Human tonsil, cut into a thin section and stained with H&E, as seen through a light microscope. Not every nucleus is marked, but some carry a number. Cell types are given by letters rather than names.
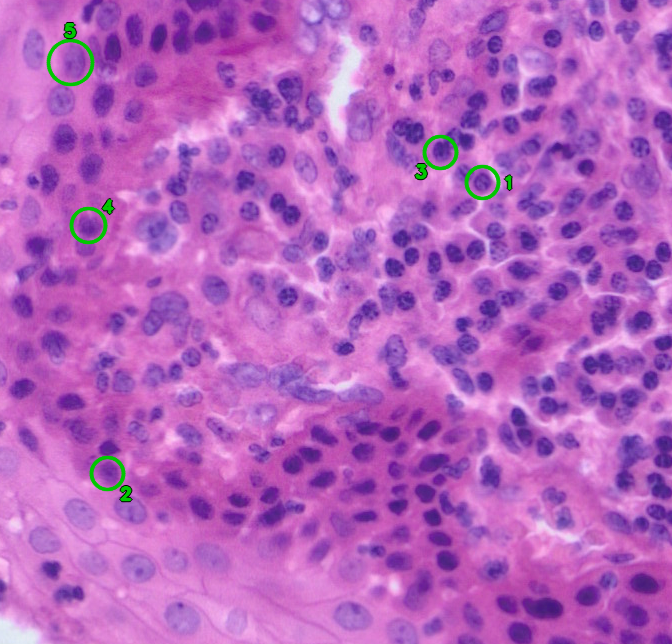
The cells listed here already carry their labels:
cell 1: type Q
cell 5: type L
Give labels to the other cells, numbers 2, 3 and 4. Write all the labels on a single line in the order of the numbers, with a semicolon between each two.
type L; type Q; type L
